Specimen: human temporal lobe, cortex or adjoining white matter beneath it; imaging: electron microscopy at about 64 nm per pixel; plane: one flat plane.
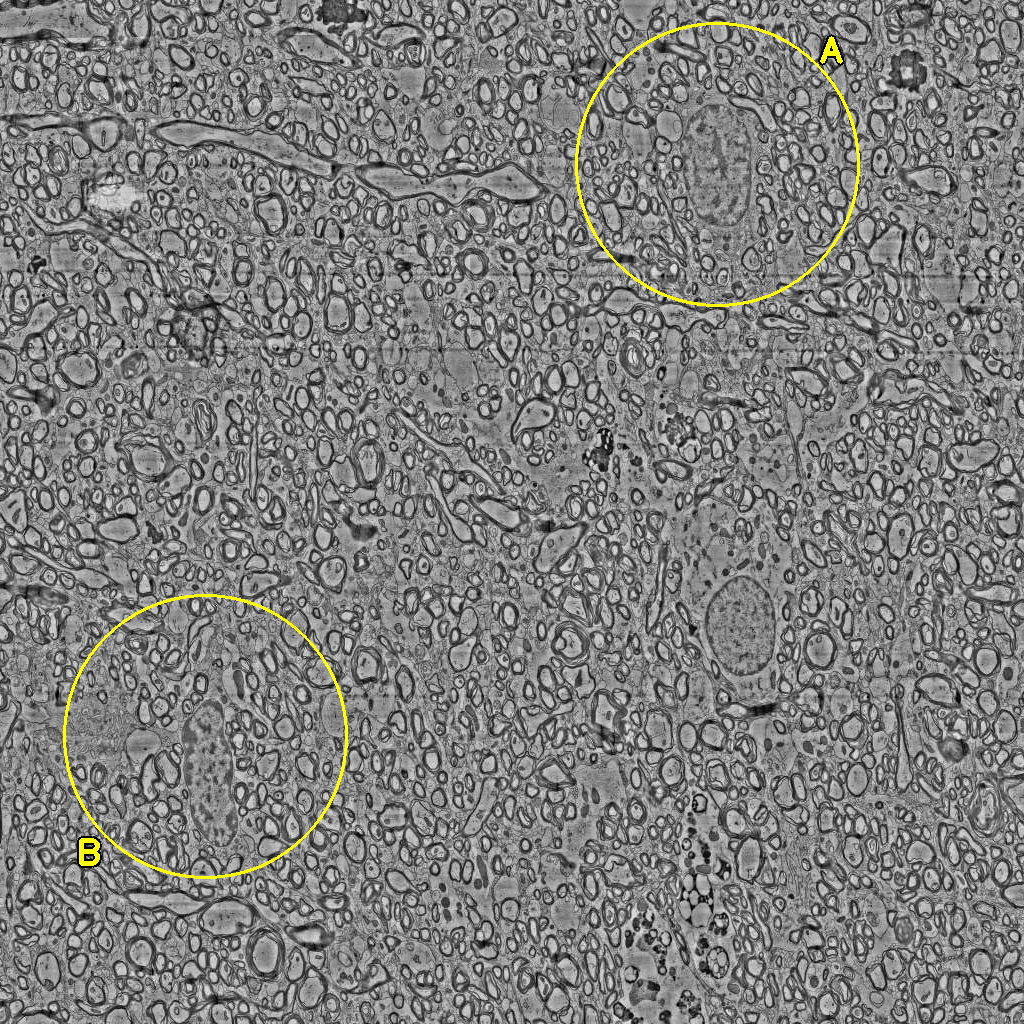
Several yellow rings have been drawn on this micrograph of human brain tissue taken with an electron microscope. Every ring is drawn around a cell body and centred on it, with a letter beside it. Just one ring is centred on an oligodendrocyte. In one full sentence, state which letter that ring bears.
At the centre of ring A is a cell of that kind.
